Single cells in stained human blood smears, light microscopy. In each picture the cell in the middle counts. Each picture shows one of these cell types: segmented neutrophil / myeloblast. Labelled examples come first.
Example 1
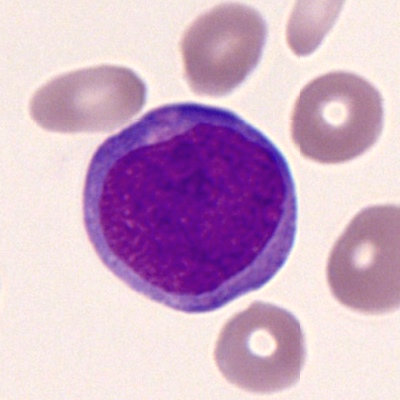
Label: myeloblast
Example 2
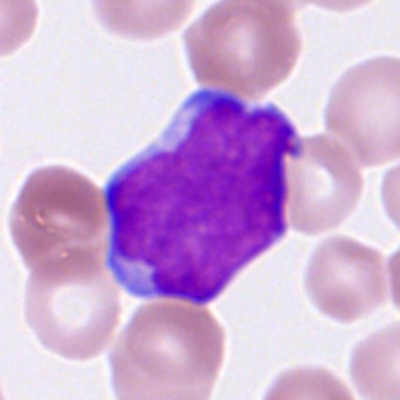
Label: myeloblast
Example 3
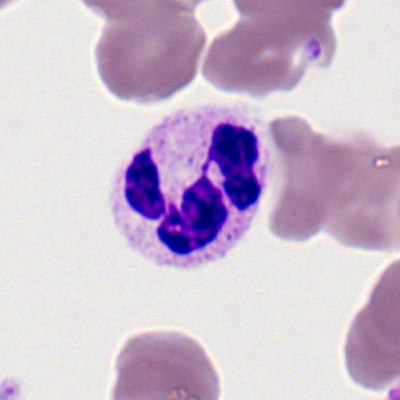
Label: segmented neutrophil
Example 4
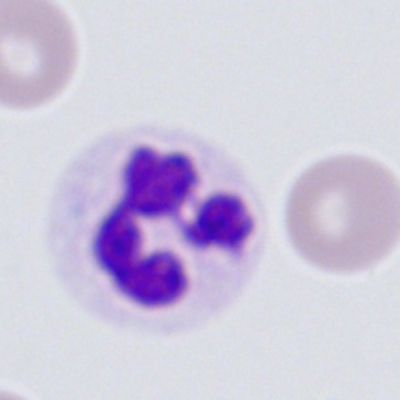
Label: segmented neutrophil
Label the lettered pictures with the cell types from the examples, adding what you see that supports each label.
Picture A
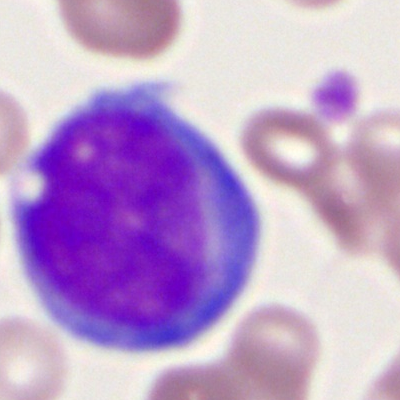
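Label: myeloblast. The cytoplasm is deep blue.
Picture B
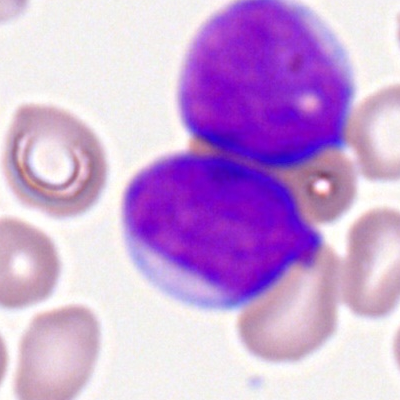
Label: myeloblast. The cytoplasm is scant, showing as a thin rim mainly along the lower-left edge.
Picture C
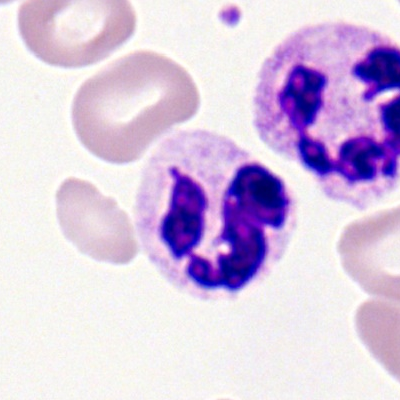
Label: segmented neutrophil. The cytoplasm is plentiful and pale pinkish-lilac.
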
